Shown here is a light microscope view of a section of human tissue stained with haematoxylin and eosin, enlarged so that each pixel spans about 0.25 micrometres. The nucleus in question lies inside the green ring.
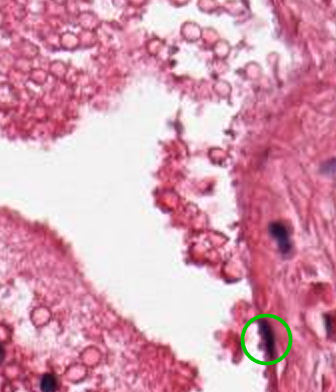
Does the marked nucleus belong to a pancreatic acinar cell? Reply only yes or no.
no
